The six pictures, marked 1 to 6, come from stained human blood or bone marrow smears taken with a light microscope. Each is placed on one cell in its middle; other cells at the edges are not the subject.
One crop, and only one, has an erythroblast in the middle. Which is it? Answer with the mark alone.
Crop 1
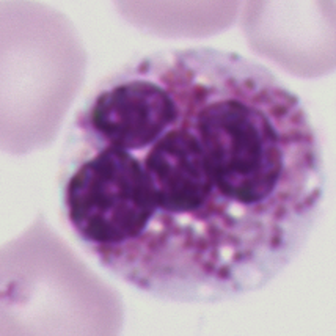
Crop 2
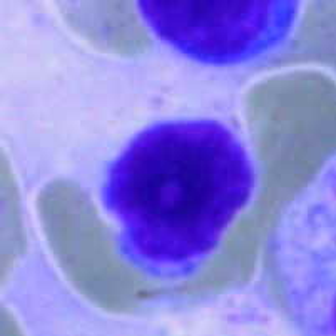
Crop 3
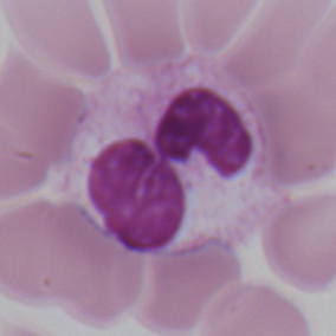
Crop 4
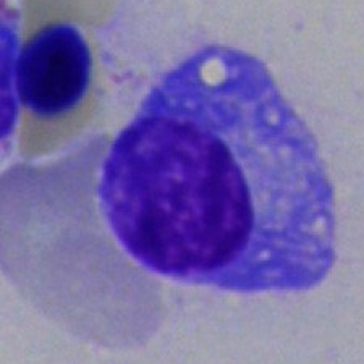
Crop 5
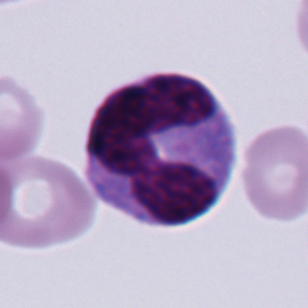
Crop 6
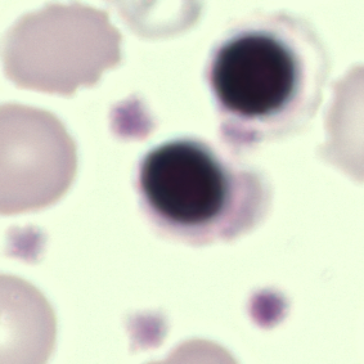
6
